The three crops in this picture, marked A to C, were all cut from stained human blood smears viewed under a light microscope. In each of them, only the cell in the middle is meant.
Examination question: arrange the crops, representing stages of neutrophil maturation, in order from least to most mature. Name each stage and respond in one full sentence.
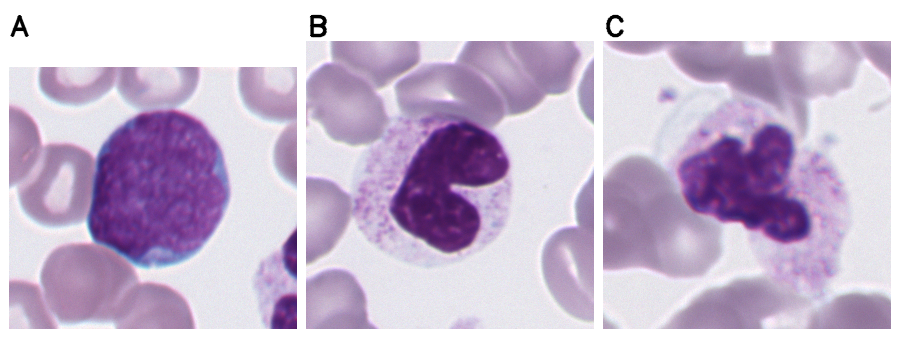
Lined up by maturity, least mature to most mature, they are crop A (a myeloblast), crop B (a band neutrophil) and crop C (a segmented neutrophil).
